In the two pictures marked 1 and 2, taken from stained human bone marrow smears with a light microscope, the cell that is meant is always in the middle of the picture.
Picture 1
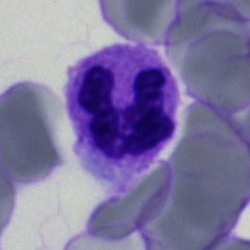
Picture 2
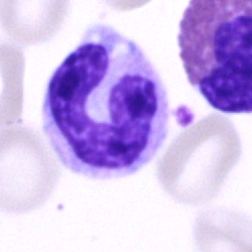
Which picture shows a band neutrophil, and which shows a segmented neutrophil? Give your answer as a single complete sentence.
In picture 1 the cell is a segmented neutrophil; in picture 2, a band neutrophil.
